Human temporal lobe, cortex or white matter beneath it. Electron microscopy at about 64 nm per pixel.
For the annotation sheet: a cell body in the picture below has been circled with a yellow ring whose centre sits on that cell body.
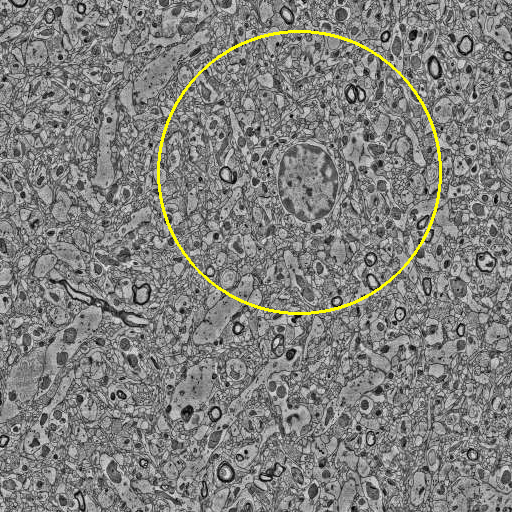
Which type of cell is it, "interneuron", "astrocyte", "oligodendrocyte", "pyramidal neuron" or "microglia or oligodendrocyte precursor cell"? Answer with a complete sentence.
The circled cell is a microglial cell or oligodendrocyte precursor cell.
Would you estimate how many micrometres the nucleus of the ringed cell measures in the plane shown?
The nucleus appears roughly 5 by 4 micrometres in this plane.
